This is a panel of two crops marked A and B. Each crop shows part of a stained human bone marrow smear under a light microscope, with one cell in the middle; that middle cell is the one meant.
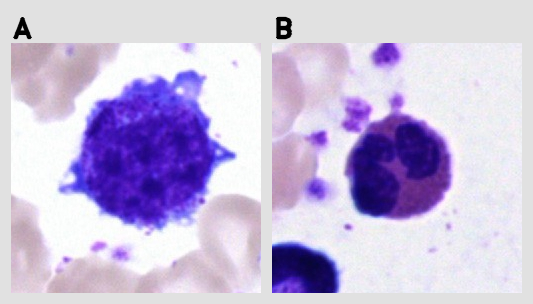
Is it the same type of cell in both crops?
no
